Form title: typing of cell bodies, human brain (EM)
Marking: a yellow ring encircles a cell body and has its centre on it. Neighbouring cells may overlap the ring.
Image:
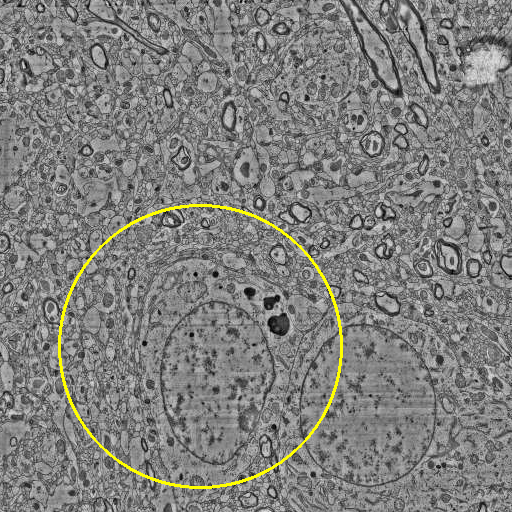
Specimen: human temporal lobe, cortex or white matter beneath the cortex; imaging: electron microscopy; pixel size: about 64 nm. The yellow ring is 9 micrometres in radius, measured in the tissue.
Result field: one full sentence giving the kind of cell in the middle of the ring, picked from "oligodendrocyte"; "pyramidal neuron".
In the picture, the ring is centred on a pyramidal neuron, whose cell body it encircles.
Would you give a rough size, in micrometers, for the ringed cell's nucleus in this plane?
About 10 by 7 micrometres in this plane.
